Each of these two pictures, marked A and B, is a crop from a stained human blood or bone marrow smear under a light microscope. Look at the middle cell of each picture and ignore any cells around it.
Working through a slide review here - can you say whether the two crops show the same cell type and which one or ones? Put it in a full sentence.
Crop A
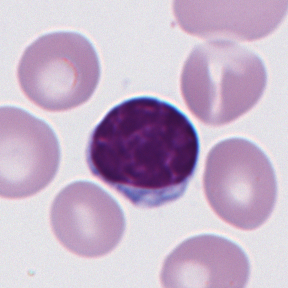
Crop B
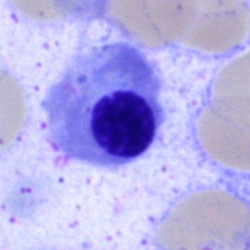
No, in crop A there is a lymphocyte, and in crop B there is an erythroblast.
